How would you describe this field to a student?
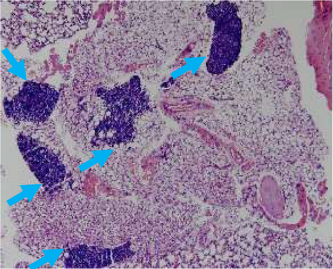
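A lung section stained pink and purple. Most of the tissue is a fine, spongy network of thin pink walls around countless small airspaces, with a few larger tubular structures with thicker walls. Scattered through it, especially near its edges and near the larger structures, lie several compact, sharply bordered masses that stain deep purple. Each is a crowd of tightly packed cells with dark nuclei and no airspaces, so it looks solid against the surrounding airy tissue. Some masses are large and irregular in outline.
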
